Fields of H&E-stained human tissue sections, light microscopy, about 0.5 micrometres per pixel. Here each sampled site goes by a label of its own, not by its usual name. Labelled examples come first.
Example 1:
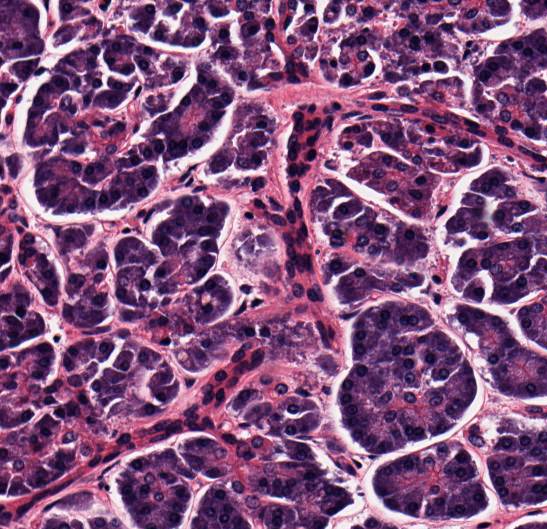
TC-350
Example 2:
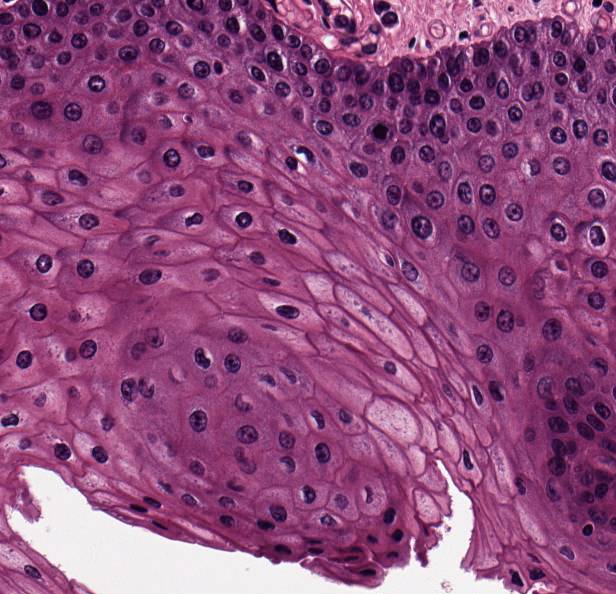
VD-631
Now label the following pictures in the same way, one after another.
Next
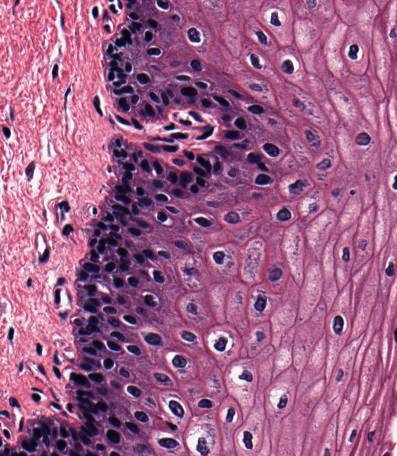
VD-631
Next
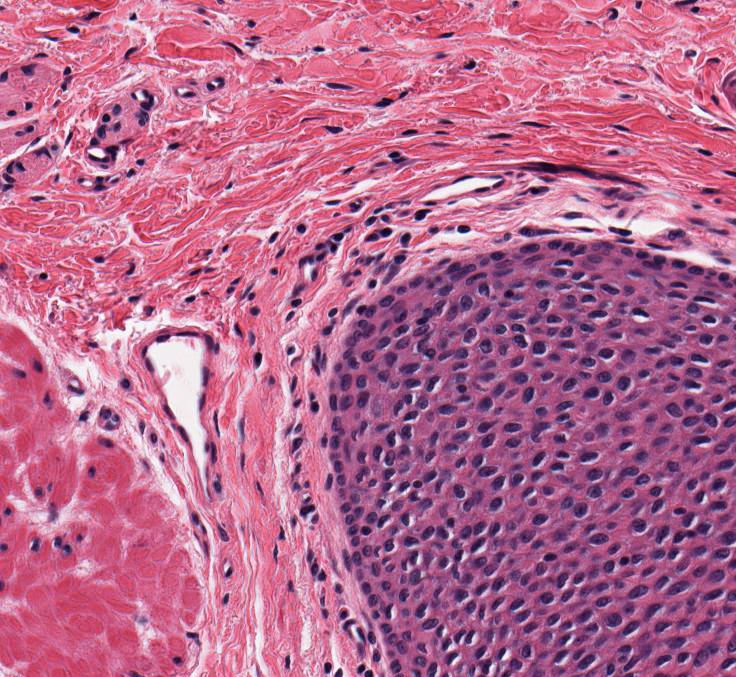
VD-631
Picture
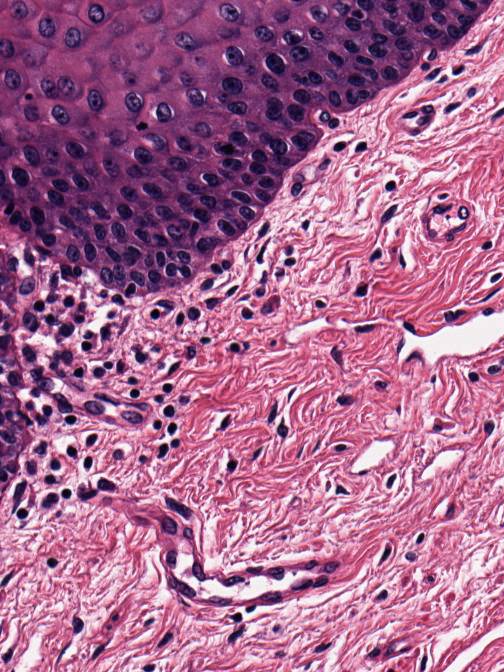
VD-631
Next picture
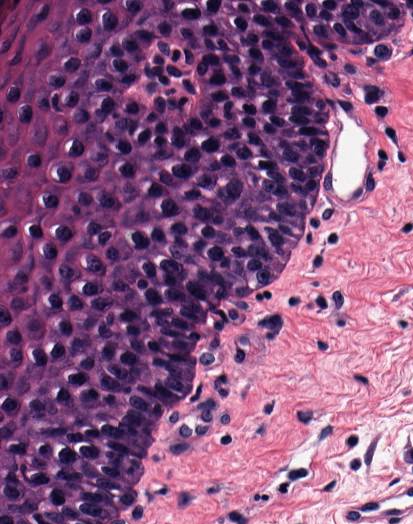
VD-631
